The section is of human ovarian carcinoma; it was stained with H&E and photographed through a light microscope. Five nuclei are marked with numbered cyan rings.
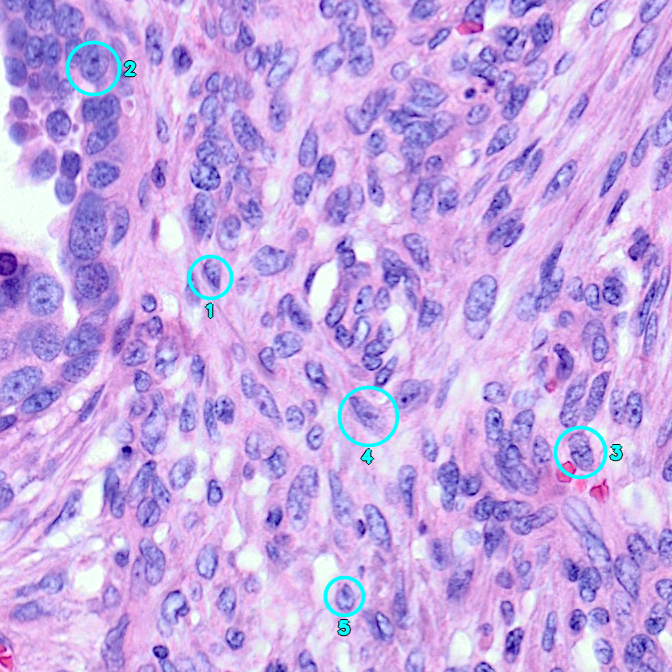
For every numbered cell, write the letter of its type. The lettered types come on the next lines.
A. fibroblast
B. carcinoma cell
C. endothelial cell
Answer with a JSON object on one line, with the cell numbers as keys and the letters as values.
{"1": "A", "2": "B", "3": "C", "4": "A", "5": "A"}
